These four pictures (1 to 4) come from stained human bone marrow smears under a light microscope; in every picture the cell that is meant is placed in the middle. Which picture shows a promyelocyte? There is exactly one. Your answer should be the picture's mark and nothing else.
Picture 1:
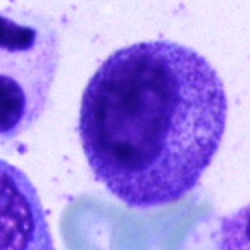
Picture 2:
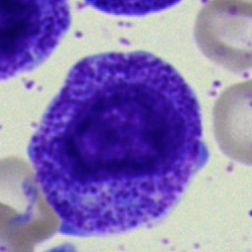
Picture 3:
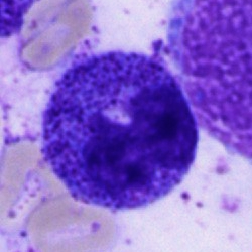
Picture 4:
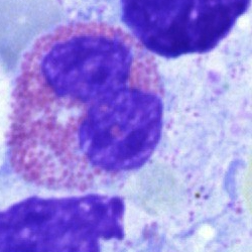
3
